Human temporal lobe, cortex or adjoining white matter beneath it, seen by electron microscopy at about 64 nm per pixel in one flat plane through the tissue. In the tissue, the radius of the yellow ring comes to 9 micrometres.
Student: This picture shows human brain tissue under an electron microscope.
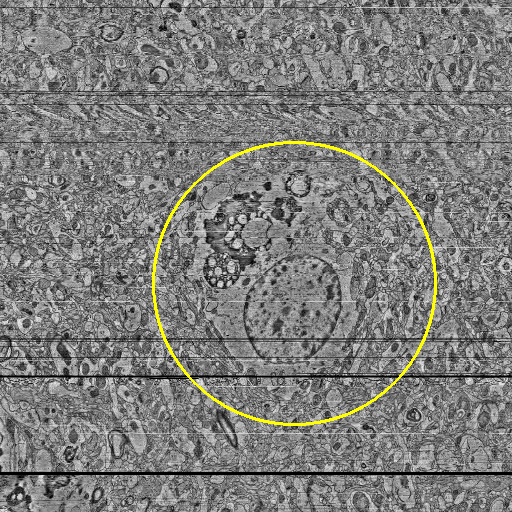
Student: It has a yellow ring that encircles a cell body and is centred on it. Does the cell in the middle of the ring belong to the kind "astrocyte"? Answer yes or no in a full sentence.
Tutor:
Yes, the cell in the middle of the ring in this picture is of that kind.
